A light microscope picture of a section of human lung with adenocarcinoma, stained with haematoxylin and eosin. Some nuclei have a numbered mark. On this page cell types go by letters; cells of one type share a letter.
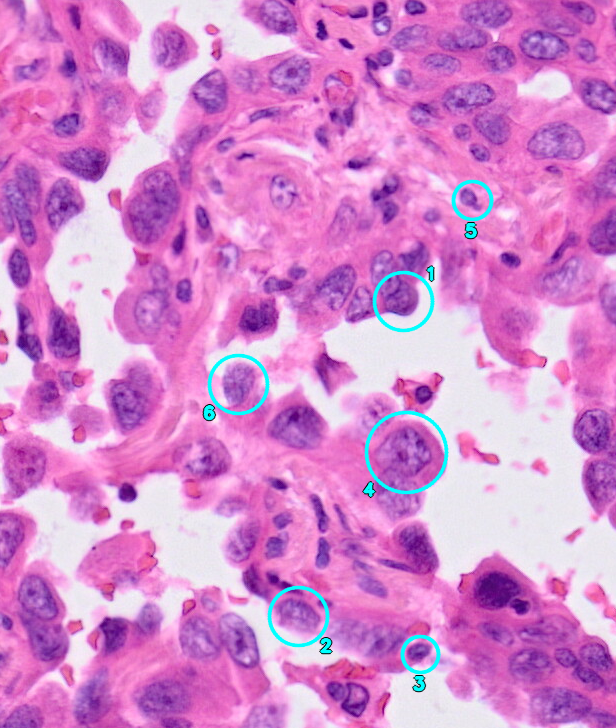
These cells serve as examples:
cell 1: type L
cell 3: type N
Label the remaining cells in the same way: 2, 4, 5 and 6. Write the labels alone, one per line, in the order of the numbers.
type L
type L
type N
type L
